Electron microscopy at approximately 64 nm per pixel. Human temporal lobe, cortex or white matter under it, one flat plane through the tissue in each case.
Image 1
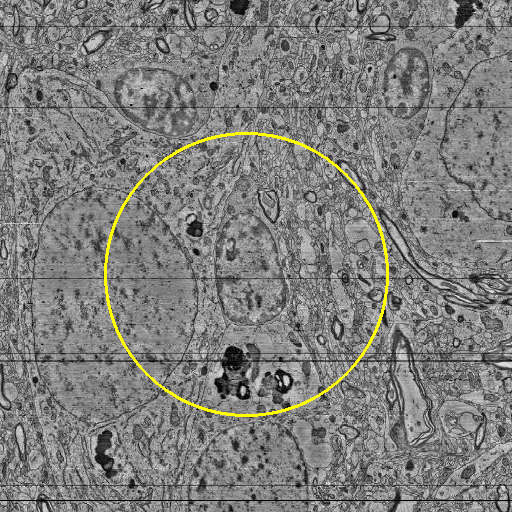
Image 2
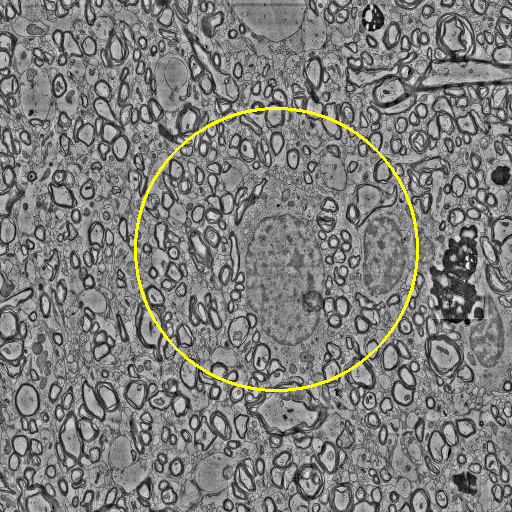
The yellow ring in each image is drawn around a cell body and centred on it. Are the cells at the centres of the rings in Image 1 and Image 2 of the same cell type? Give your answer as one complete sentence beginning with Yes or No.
Yes, both cells are of the same type.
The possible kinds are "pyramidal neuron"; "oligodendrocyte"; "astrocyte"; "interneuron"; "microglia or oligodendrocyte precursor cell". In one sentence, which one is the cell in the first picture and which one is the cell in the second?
Each cell at the centre of a ring is an oligodendrocyte.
